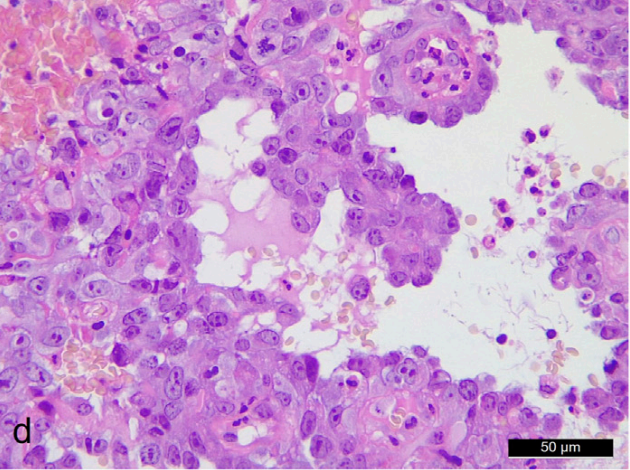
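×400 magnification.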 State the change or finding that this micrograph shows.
Significant cytologic atypia.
